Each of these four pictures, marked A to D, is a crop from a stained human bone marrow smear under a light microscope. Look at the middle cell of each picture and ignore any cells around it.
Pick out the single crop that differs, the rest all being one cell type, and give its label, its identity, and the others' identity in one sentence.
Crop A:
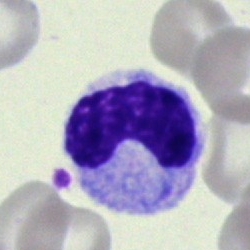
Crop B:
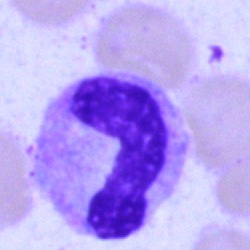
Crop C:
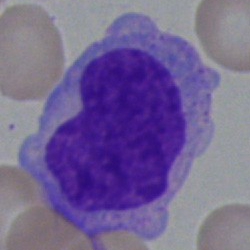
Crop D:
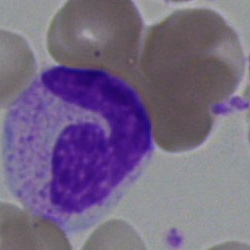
The remaining crops are all band neutrophils, so crop C, being a monocyte, is the exception.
